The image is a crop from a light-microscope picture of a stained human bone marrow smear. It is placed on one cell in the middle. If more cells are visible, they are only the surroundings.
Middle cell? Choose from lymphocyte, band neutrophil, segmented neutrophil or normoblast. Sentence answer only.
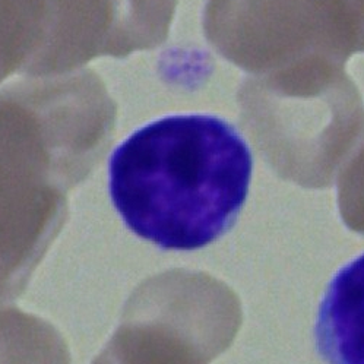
Present in the middle of the crop is a lymphocyte.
